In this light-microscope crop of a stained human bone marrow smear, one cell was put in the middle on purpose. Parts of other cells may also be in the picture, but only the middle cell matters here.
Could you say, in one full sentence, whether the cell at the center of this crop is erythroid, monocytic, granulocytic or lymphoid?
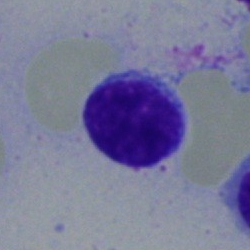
Belonging to the lymphoid lineage is the cell positioned in the middle.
